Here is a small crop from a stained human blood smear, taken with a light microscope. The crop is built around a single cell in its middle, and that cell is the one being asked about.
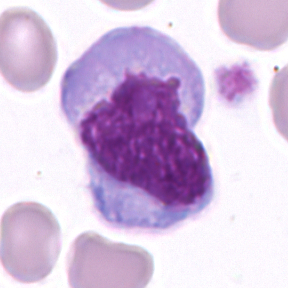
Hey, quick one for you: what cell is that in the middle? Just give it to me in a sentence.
Whatever else lies nearby, the middle cell is a plasma cell.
